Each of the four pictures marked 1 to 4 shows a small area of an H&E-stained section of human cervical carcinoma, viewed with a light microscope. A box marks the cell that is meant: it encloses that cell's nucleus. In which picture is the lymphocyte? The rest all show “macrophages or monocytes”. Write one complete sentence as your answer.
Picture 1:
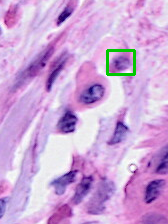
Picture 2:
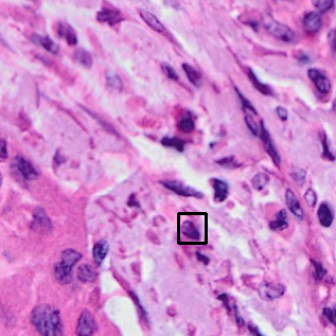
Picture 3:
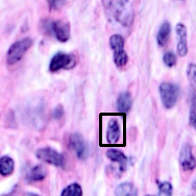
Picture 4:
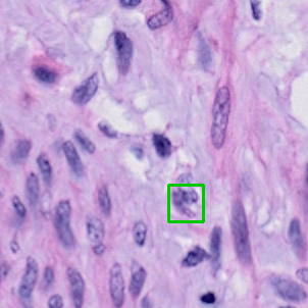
The picture with the lymphocyte is 3.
